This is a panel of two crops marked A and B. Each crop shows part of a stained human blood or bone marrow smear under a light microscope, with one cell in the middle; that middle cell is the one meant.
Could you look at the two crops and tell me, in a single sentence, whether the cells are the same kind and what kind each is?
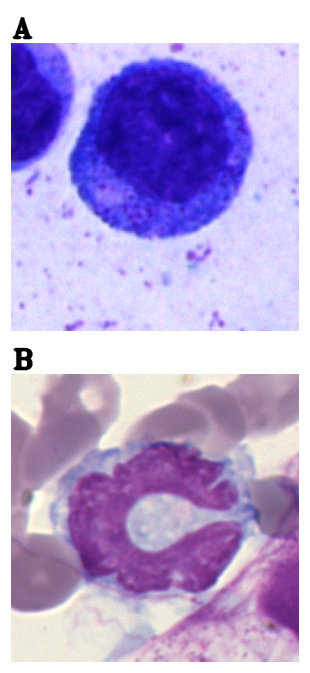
No, mark crop A as a promyelocyte and crop B as a monocyte.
